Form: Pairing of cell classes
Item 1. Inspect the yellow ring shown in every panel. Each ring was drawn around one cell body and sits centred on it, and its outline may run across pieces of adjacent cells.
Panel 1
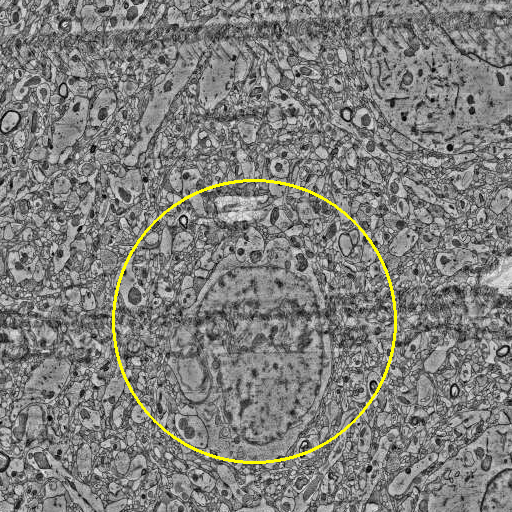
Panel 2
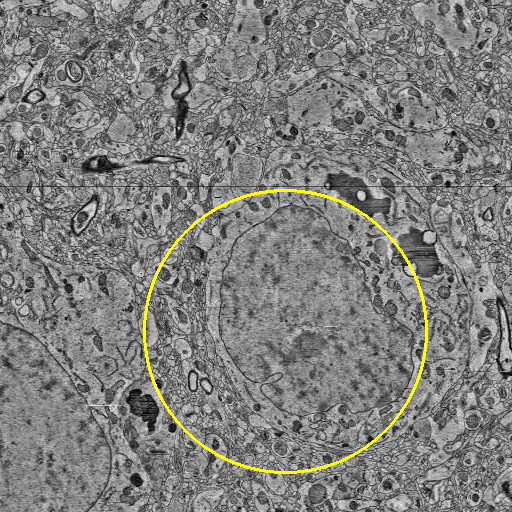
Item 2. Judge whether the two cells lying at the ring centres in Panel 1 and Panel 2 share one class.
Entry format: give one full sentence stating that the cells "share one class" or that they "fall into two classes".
The cells at the ring centres in Panel 1 and Panel 2 share one class.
